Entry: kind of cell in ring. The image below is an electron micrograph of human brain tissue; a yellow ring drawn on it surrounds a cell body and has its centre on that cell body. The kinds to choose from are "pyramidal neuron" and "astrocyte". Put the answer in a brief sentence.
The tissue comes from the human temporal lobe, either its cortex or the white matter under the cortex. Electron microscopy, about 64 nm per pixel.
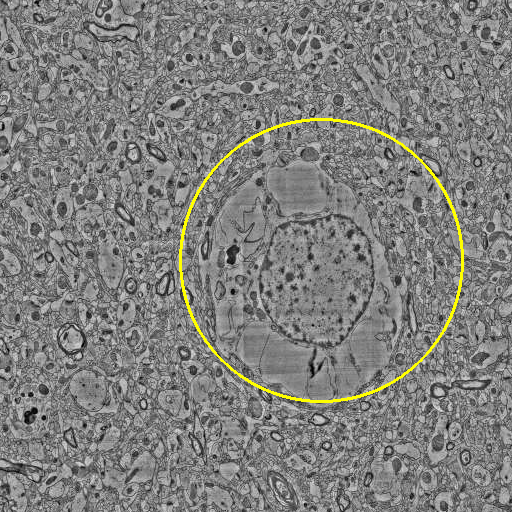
The ring has been drawn around an astrocyte.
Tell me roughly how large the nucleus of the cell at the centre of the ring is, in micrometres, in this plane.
In this plane, about 9 micrometres in length and 7 in width.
